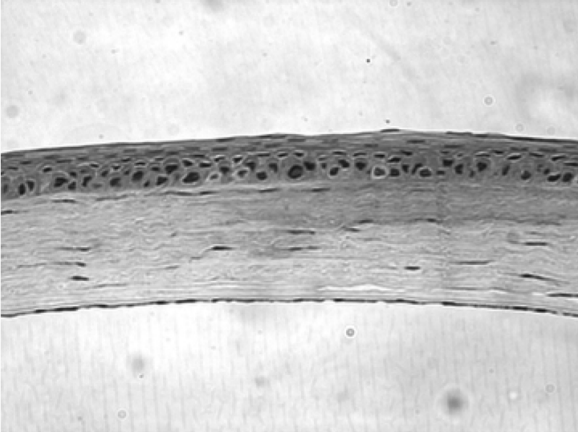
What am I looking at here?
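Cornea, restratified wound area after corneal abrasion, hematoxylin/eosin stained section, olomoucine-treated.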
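The epithelium contains several tiers of tightly packed cells with dark oval nuclei, the superficial cells flattened. The stroma is made of parallel lamellae interspersed with scattered elongated, spindle-shaped nuclei. A thin row of flat cells lines the posterior surface.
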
